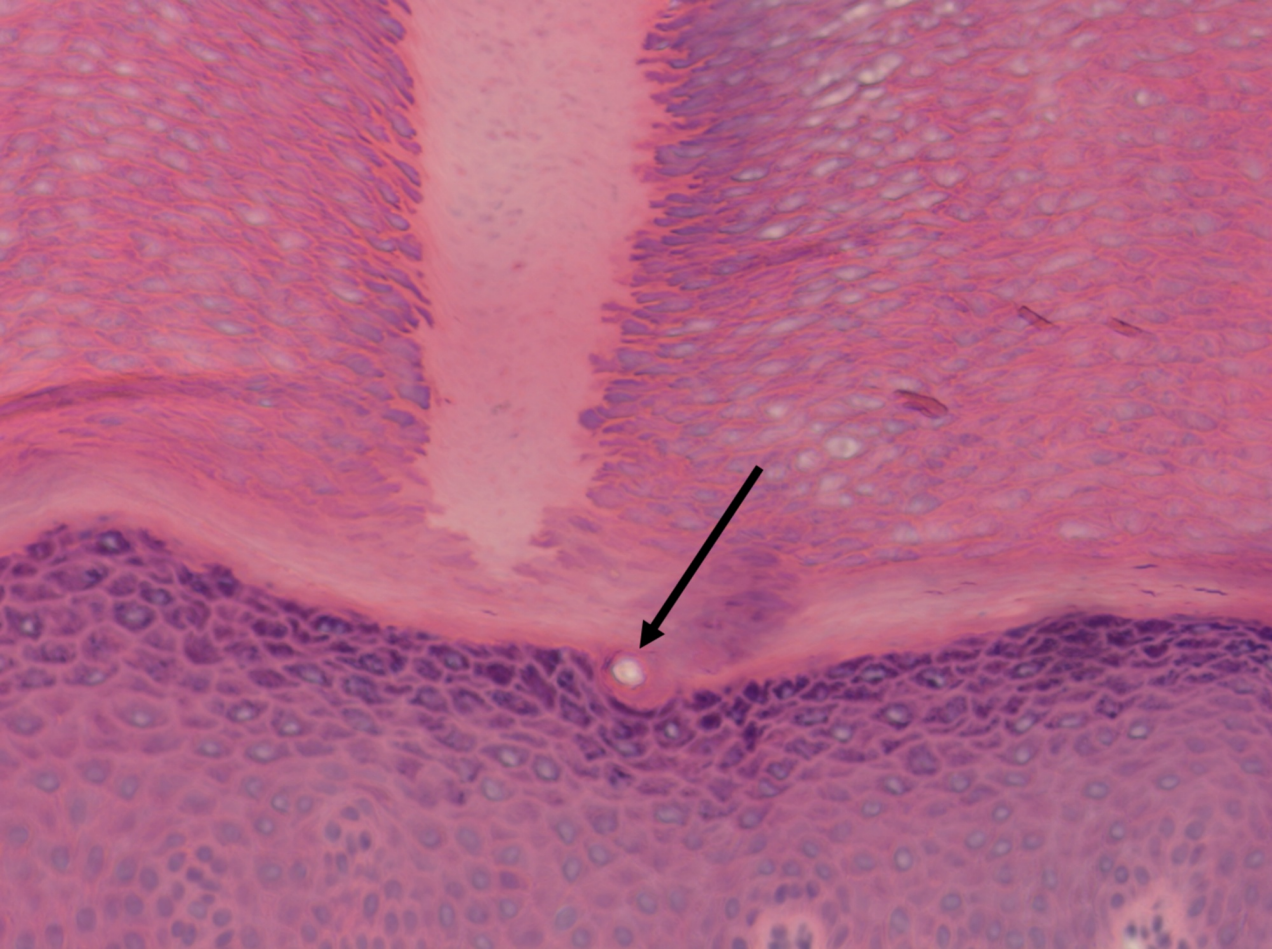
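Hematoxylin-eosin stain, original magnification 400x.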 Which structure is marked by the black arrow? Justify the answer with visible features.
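The arrow points to a small round lumen with pale contents at the junction of the living epidermis and the cornified layer. The lumen is ringed by a thin pink lining.
Hence: sweat duct.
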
